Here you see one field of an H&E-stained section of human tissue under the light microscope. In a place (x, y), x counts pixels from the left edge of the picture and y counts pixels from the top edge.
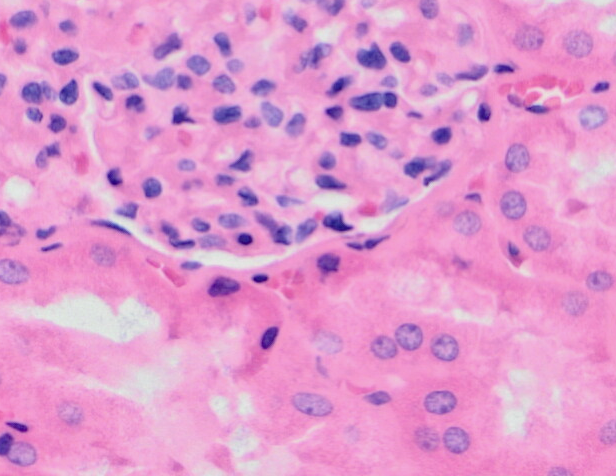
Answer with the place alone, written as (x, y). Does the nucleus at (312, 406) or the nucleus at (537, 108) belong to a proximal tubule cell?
(312, 406)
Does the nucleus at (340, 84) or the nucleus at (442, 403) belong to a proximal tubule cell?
(442, 403)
